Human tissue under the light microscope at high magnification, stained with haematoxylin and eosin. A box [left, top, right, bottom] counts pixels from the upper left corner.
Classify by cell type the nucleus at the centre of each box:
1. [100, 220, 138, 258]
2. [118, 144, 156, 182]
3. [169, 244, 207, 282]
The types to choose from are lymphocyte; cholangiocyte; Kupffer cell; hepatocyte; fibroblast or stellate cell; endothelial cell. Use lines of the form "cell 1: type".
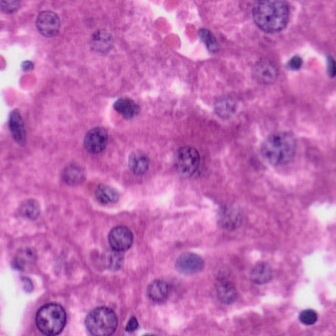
cell 1: hepatocyte
cell 2: hepatocyte
cell 3: endothelial cell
